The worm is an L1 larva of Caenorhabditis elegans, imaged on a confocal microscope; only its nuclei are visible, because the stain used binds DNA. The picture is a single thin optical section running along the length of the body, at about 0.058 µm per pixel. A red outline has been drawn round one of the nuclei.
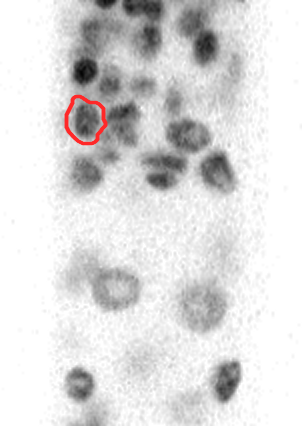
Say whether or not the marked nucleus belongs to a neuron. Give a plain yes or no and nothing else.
yes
